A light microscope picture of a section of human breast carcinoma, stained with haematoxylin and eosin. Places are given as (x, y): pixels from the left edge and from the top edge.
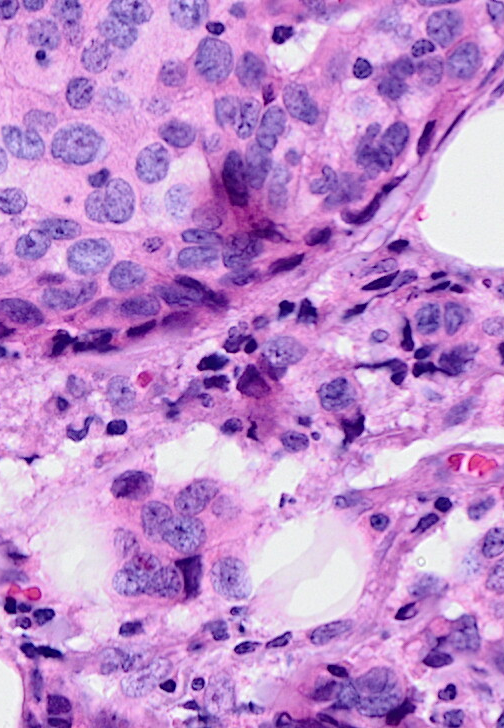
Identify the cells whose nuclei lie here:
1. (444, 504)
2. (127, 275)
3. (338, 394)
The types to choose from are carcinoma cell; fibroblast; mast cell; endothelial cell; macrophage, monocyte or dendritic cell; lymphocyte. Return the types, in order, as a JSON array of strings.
["lymphocyte", "carcinoma cell", "carcinoma cell"]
